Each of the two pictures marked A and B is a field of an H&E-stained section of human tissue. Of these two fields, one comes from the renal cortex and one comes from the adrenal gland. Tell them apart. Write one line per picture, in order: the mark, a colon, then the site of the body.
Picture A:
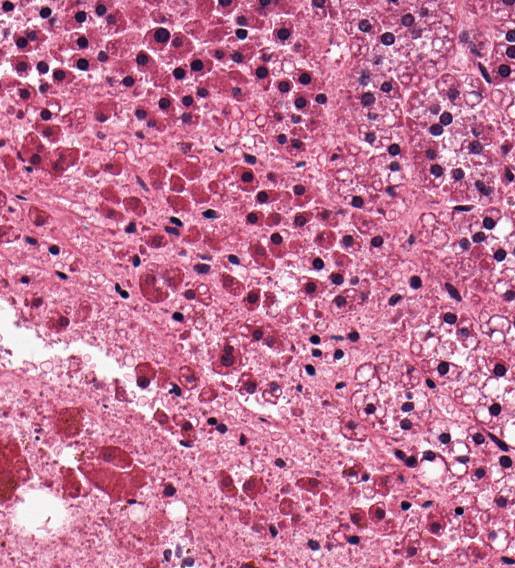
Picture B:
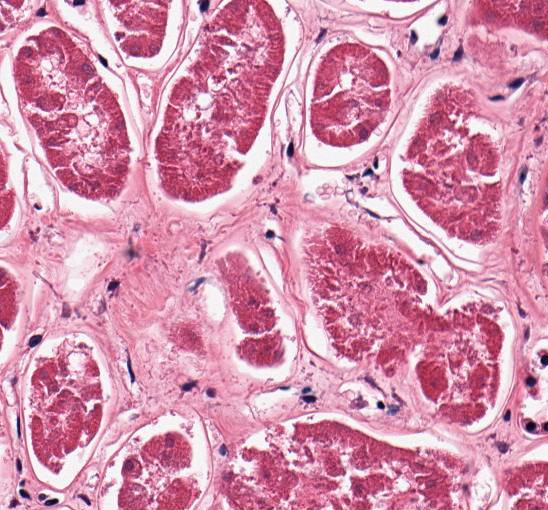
A: adrenal gland
B: renal cortex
